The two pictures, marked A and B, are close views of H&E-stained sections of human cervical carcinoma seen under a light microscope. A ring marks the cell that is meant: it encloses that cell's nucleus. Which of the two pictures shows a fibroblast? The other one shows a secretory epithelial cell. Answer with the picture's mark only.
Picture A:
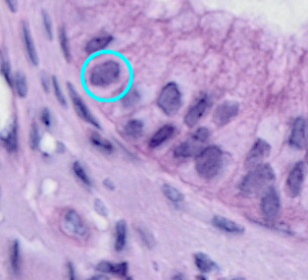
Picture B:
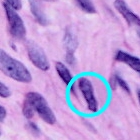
B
